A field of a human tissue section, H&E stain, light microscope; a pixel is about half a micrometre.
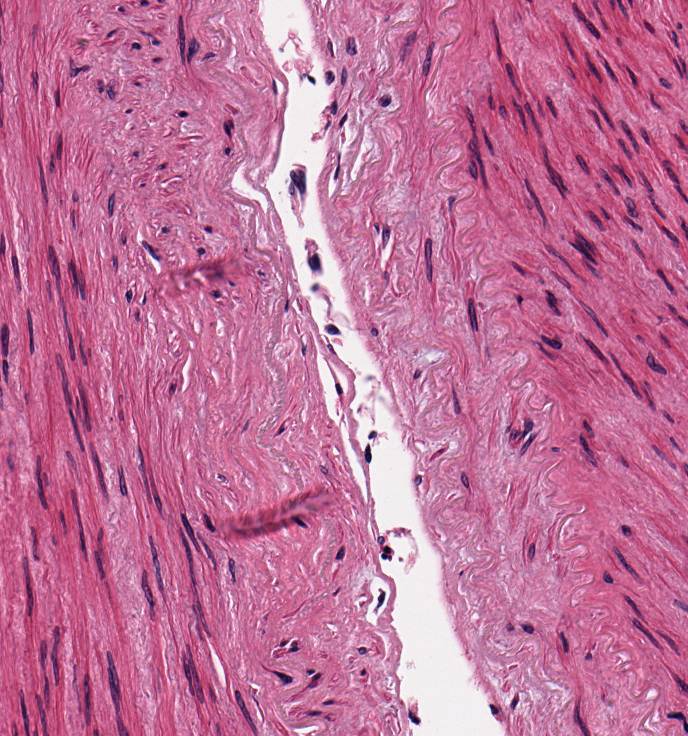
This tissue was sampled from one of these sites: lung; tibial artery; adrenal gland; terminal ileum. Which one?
tibial artery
